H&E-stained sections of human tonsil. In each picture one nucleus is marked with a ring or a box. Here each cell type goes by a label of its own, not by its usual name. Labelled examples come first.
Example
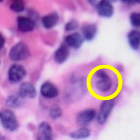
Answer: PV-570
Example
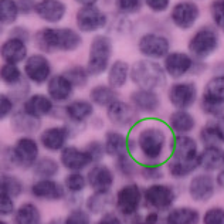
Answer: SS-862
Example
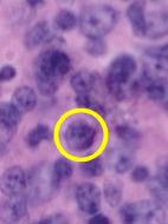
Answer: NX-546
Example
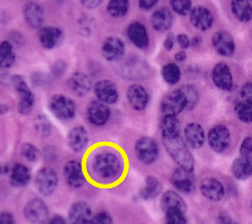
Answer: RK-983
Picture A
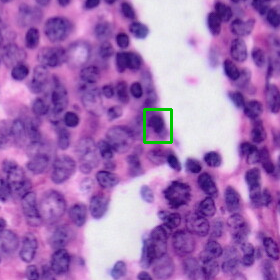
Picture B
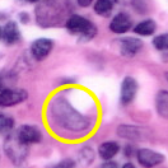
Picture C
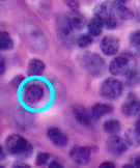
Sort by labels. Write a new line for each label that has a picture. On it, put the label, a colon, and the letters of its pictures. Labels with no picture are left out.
PV-570: B, C
NX-546: A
